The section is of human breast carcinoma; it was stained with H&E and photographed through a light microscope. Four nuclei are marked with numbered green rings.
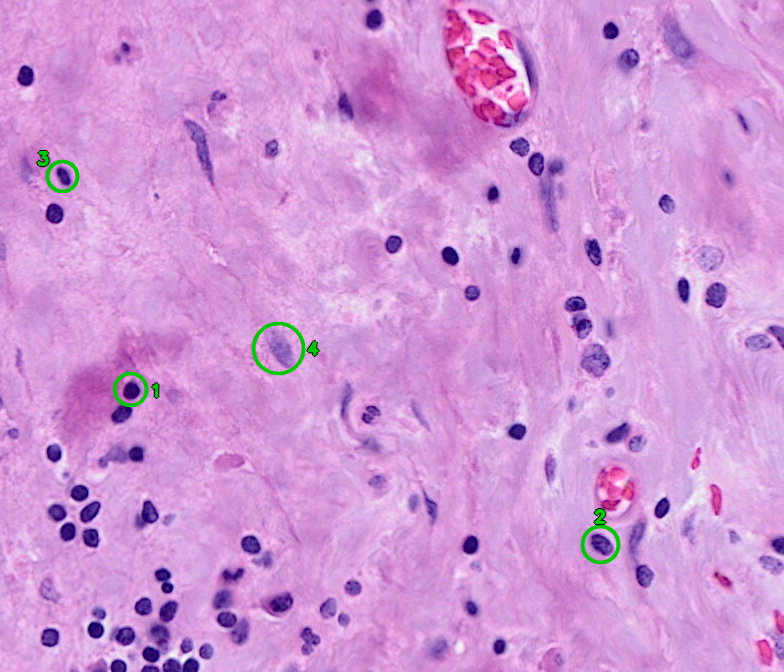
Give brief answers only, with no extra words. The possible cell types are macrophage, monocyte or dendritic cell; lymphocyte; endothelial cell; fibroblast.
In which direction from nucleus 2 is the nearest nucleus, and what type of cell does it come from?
a macrophage, monocyte or dendritic cell; to the right of nucleus 2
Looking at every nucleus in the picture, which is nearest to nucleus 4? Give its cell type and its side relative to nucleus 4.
a fibroblast below and to the right of nucleus 4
